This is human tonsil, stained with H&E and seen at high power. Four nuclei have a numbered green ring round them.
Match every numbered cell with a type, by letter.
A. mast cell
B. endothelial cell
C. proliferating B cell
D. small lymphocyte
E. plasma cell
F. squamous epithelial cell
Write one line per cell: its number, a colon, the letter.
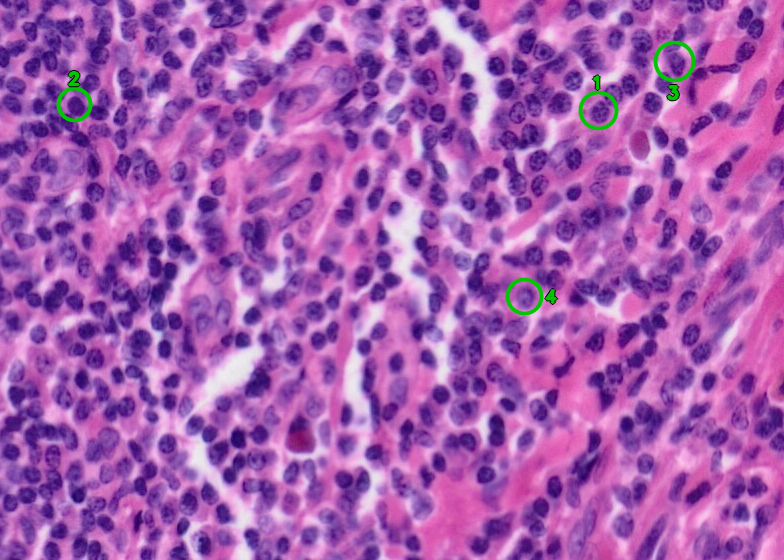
1: E
2: D
3: E
4: E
